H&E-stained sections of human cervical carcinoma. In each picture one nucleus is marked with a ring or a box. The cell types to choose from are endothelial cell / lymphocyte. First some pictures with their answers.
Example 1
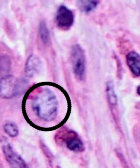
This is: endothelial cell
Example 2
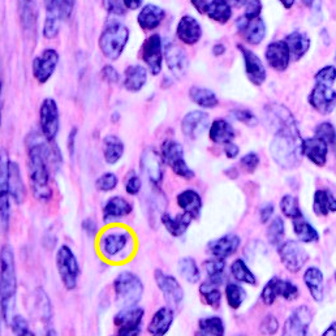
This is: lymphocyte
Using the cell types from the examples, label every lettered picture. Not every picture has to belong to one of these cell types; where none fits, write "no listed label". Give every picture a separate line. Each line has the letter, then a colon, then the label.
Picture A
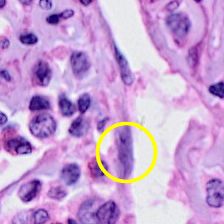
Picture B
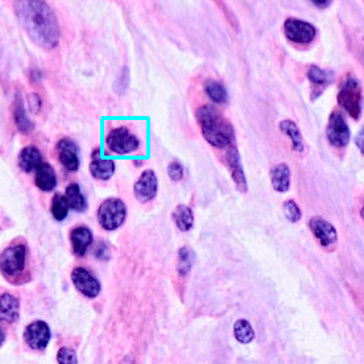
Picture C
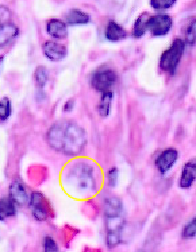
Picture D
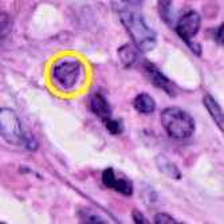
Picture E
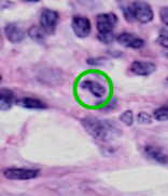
A: endothelial cell
B: lymphocyte
C: endothelial cell
D: no listed label
E: lymphocyte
